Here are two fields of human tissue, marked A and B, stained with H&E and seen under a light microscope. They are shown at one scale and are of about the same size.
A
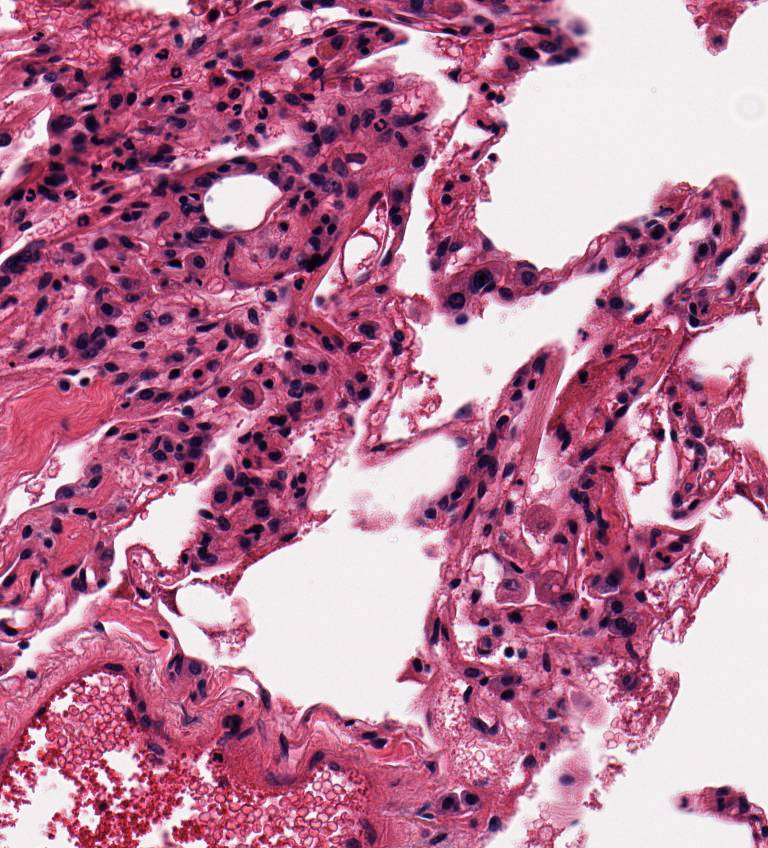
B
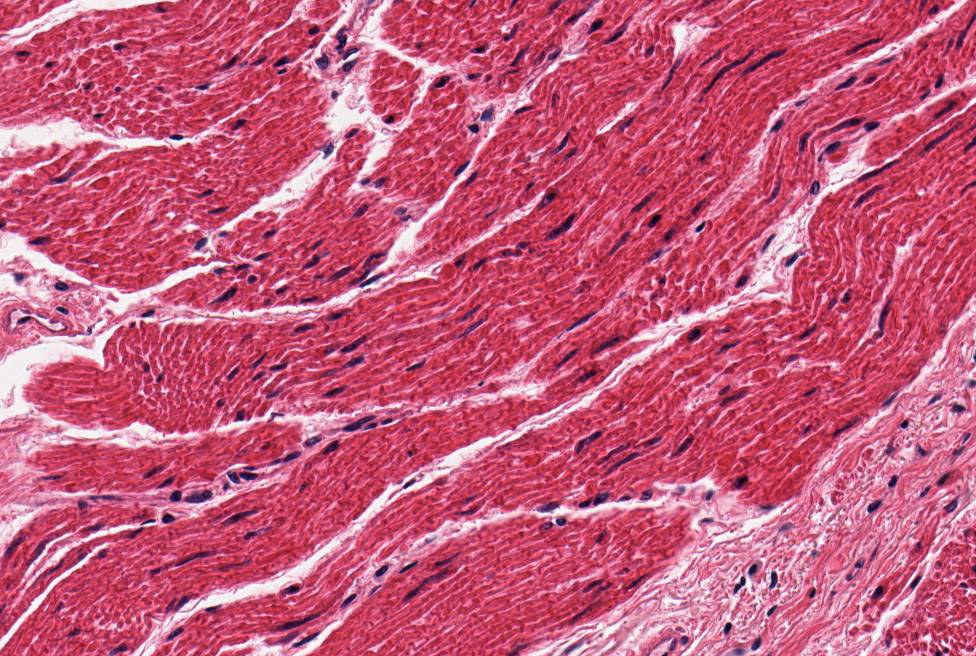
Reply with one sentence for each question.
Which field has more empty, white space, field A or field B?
Field A has more white space.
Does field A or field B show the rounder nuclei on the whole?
On the whole the nuclei of field A are rounder than those of field B.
